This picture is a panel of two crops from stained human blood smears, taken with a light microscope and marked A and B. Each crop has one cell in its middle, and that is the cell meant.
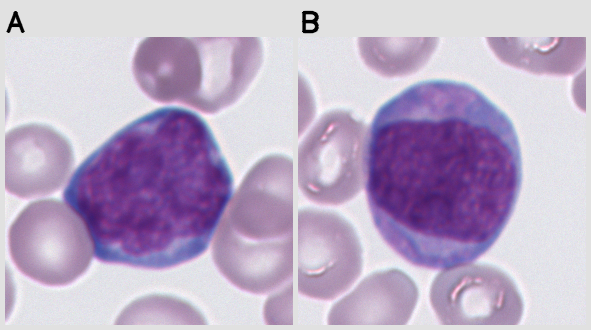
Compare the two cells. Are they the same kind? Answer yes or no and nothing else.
no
